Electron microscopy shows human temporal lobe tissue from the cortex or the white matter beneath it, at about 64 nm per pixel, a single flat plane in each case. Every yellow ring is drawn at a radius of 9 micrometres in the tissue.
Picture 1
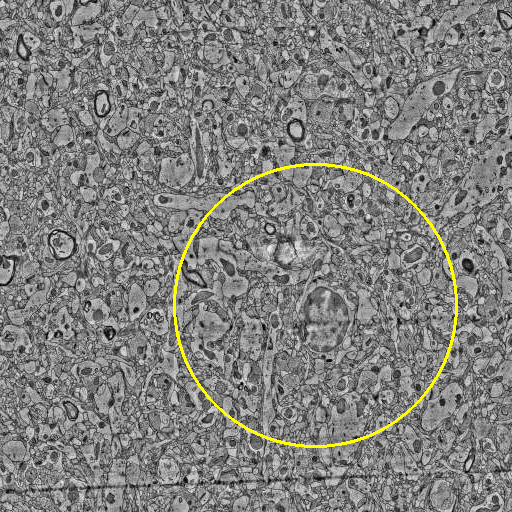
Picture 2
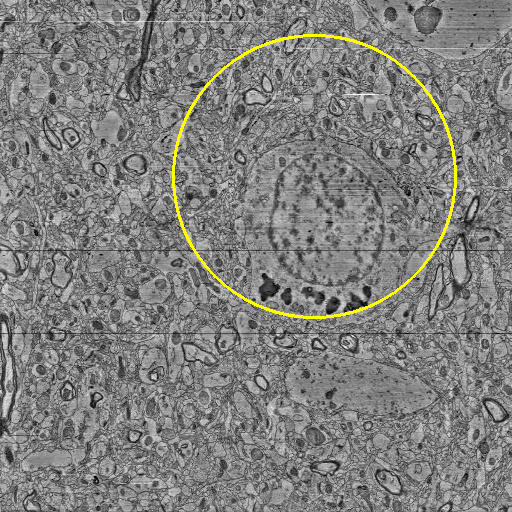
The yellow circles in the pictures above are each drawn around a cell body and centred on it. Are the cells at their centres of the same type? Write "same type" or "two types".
two types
